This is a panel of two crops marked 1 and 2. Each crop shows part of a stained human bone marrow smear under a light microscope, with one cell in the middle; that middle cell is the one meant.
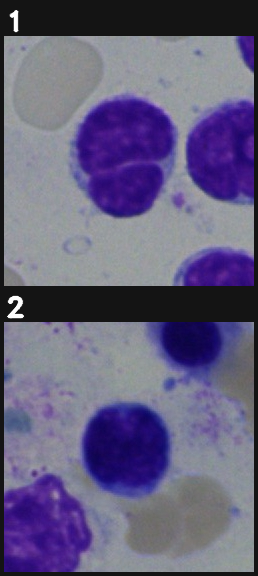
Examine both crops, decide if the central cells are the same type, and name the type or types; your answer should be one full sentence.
Yes, both crops show lymphocytes, with no exception.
